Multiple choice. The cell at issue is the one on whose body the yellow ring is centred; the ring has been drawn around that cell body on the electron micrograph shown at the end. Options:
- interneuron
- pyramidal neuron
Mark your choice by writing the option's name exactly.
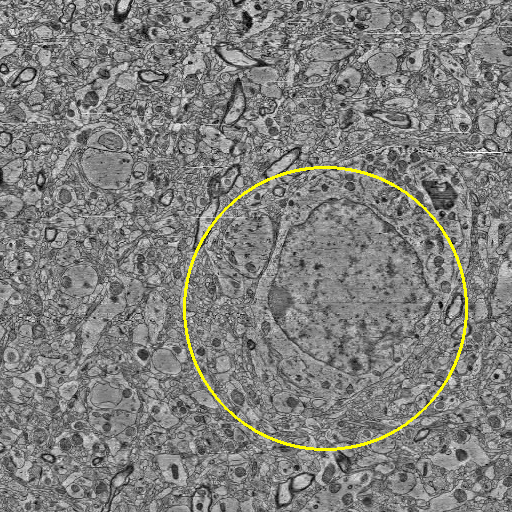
interneuron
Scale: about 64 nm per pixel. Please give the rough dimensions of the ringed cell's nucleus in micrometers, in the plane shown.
Approximately 11 micrometres across, in this plane.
